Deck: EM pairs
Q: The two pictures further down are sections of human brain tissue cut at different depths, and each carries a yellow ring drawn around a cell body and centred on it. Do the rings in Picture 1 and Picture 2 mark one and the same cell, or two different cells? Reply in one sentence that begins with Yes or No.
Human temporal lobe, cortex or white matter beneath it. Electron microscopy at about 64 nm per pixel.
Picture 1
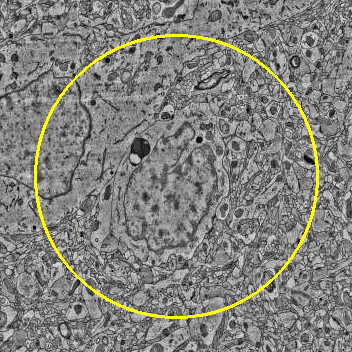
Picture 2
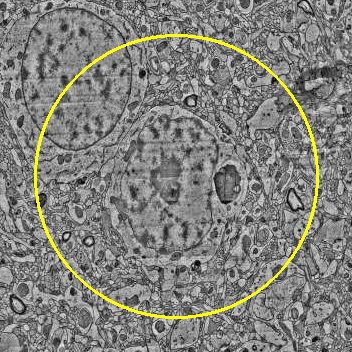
No, it is two different cells that the rings mark.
